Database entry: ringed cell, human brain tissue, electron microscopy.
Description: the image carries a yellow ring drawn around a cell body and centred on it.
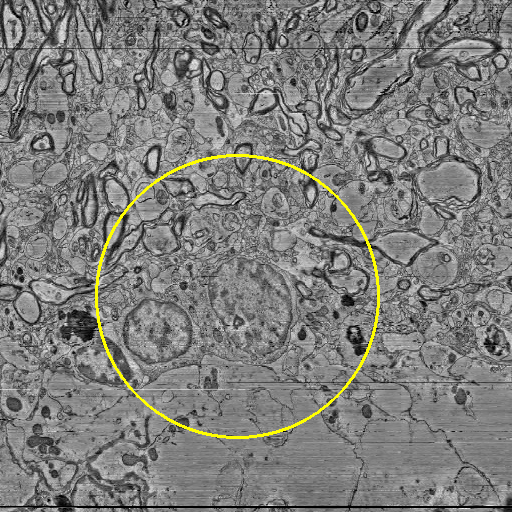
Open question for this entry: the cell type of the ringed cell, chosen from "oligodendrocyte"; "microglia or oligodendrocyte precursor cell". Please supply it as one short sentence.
The ringed cell is an oligodendrocyte.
